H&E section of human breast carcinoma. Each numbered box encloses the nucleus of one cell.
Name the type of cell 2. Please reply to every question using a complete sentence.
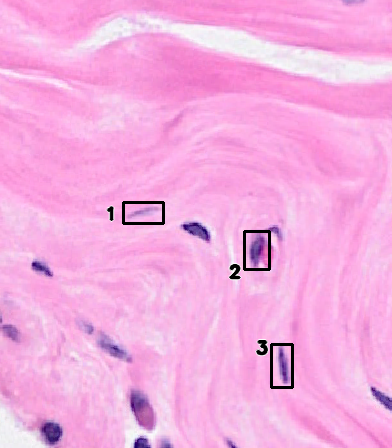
As for number 2, that cell is an endothelial cell.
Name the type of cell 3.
The numbered cell 3 is identified here as a fibroblast.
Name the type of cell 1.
What the number 1 marks in this field is a fibroblast.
